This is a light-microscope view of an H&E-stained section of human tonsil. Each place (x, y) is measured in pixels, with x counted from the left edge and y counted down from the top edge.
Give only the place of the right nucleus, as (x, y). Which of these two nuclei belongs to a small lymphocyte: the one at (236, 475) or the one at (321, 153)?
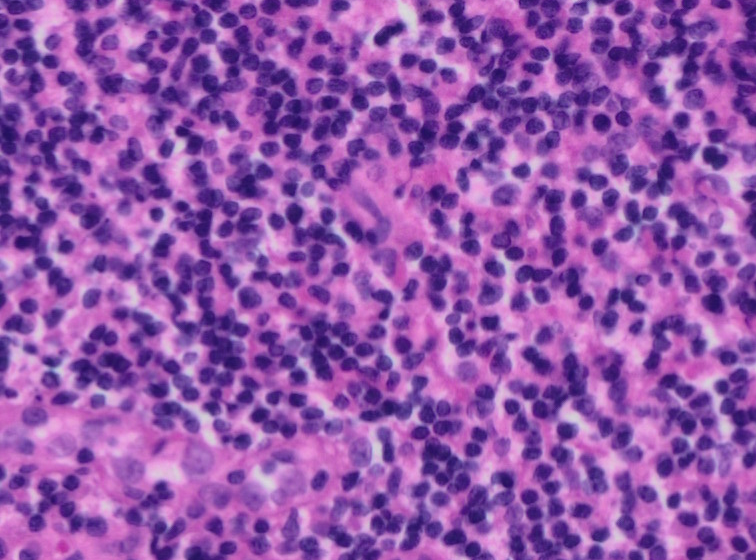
(321, 153)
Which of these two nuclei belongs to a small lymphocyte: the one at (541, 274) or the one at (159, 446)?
(541, 274)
